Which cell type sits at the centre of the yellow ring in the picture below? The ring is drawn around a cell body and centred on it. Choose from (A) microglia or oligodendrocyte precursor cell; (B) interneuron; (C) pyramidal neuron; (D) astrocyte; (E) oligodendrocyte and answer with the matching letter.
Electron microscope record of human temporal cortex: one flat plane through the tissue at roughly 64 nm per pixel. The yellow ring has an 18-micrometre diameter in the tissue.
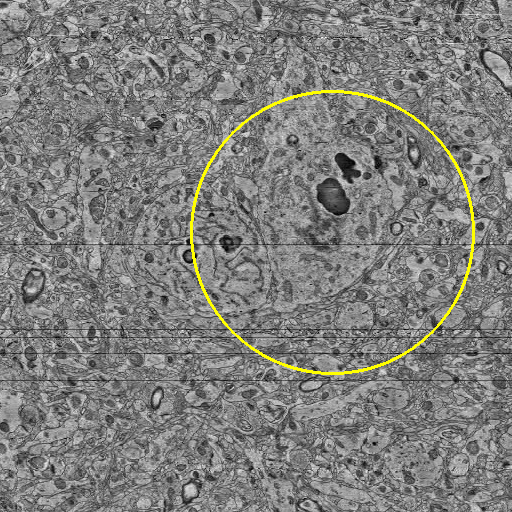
B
